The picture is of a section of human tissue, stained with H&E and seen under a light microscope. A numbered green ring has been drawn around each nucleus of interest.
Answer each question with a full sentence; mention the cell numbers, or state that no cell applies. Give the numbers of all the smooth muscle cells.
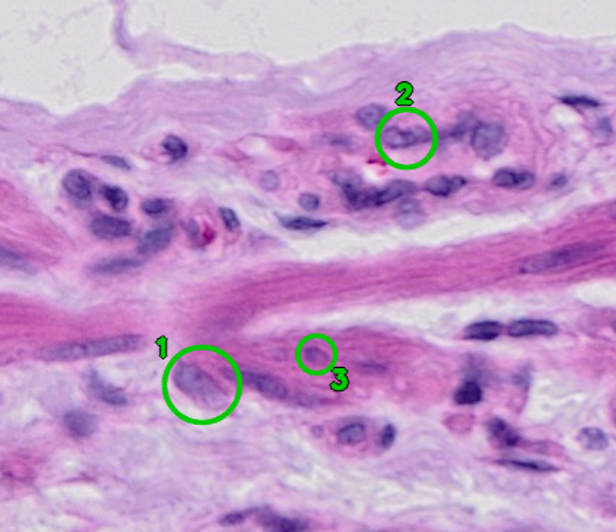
Here, the cells that carry numbers 1 and 3 are smooth muscle cells.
